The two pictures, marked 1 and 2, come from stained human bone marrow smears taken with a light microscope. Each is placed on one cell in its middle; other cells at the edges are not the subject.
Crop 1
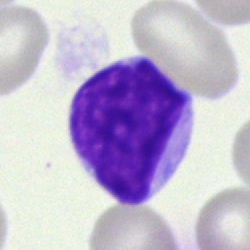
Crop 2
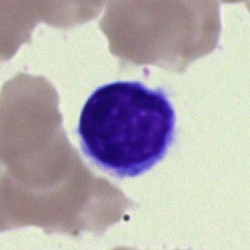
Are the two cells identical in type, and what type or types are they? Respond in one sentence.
No, look again: crop 1 shows a blast, and crop 2 shows a lymphocyte.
